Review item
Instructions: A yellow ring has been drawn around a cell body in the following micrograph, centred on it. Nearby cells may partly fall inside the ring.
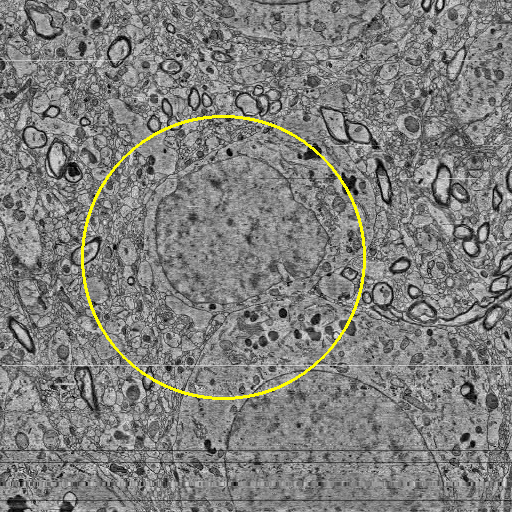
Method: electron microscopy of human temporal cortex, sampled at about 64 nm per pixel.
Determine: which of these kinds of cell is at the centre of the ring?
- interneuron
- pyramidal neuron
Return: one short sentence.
The cell body in the middle of the ring is that of an interneuron.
